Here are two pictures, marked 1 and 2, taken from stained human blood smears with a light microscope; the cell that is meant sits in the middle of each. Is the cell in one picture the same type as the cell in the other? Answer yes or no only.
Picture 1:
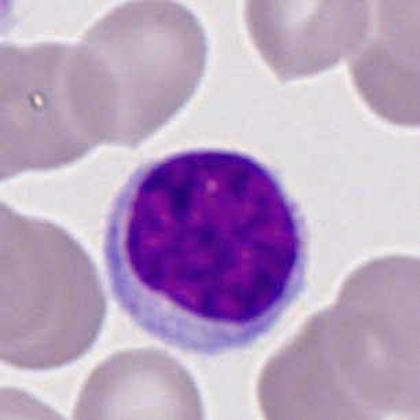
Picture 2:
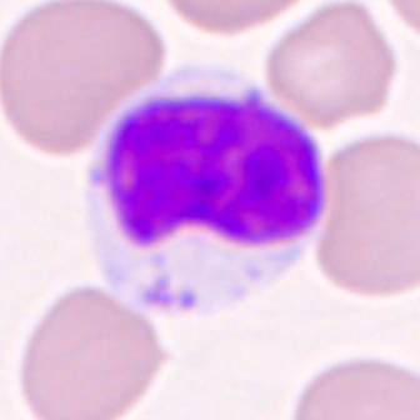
yes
